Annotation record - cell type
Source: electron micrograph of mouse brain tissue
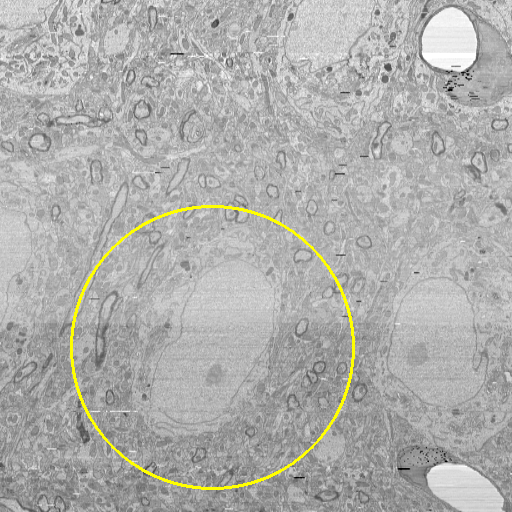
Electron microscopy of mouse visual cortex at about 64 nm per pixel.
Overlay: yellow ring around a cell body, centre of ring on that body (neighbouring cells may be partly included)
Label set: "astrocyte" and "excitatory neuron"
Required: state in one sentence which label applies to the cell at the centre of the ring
This cell should be labelled as an excitatory neuron.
